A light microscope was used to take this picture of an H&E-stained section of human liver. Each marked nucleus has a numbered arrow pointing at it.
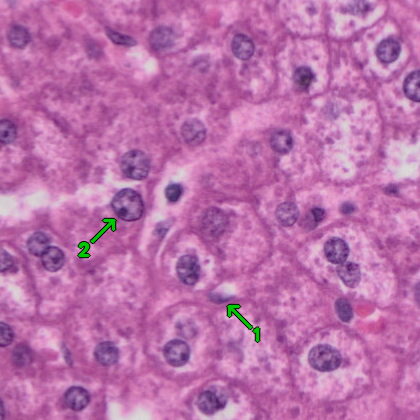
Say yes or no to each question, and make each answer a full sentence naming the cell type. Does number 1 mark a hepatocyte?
No, cell 1 is not to be taken for a hepatocyte; it is an endothelial cell.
